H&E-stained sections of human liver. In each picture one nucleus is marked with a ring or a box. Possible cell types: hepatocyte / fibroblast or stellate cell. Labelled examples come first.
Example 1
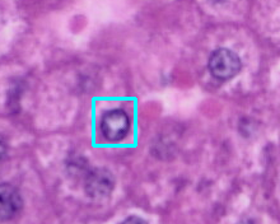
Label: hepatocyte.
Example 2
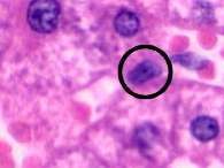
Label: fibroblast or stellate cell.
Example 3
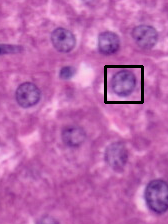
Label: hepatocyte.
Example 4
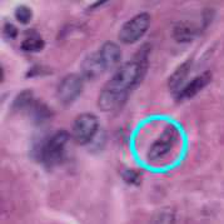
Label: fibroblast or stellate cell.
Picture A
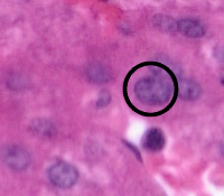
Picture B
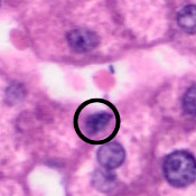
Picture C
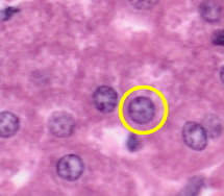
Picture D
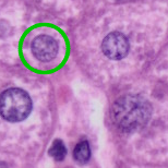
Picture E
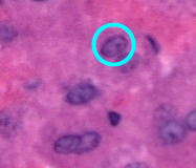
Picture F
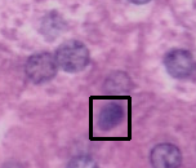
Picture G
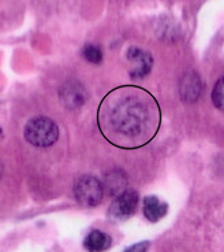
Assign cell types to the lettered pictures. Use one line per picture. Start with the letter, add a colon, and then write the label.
A: hepatocyte.
B: fibroblast or stellate cell.
C: hepatocyte.
D: hepatocyte.
E: hepatocyte.
F: fibroblast or stellate cell.
G: hepatocyte.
